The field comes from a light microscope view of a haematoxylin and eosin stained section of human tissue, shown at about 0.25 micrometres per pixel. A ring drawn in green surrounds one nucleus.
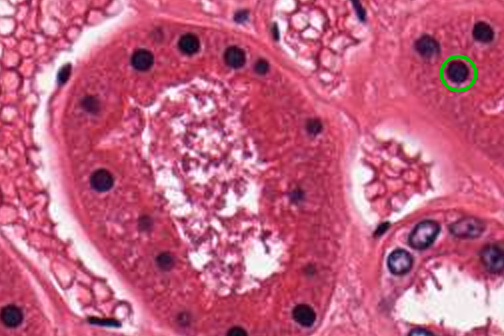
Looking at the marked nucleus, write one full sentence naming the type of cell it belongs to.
The marked nucleus is located in a proximal tubule cell.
